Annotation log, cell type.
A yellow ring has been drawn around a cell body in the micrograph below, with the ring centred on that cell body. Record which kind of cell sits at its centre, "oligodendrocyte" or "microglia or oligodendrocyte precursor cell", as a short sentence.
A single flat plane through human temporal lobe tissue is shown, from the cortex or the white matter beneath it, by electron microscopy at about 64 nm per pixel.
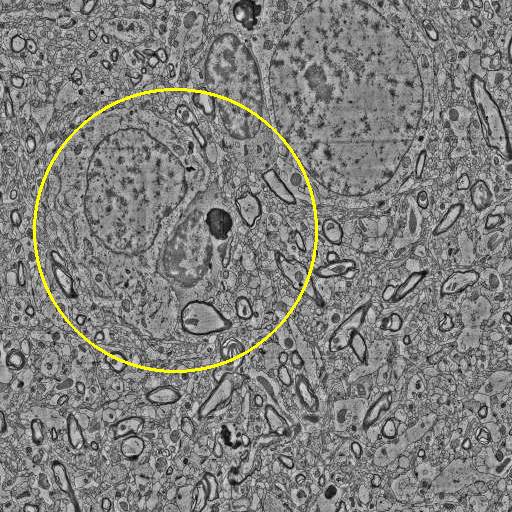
The cell at the centre of this ring is an oligodendrocyte.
